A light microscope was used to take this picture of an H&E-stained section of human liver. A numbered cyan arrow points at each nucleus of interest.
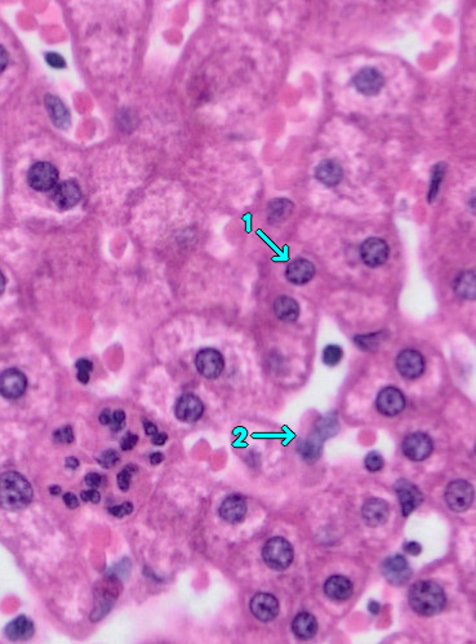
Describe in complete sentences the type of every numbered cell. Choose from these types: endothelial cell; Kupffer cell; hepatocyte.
Cell 1 is a hepatocyte and cell 2 is a Kupffer cell.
